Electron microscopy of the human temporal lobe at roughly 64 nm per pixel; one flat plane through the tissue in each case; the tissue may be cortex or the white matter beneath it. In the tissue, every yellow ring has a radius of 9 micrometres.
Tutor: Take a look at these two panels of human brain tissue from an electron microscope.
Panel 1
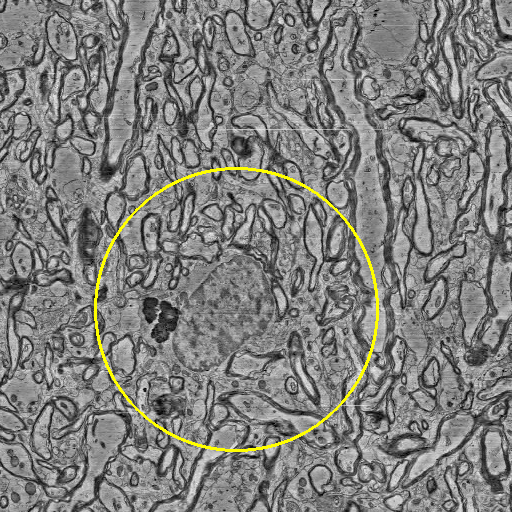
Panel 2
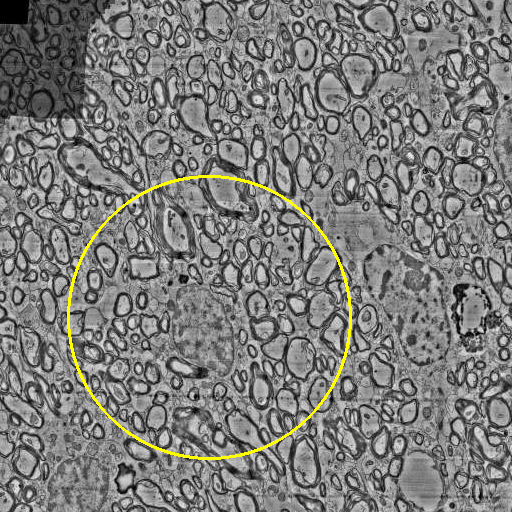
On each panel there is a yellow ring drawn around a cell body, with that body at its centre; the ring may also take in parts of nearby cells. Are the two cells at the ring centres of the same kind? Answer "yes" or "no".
yes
